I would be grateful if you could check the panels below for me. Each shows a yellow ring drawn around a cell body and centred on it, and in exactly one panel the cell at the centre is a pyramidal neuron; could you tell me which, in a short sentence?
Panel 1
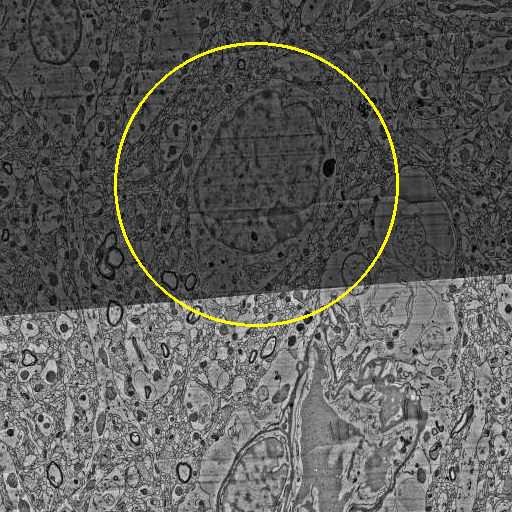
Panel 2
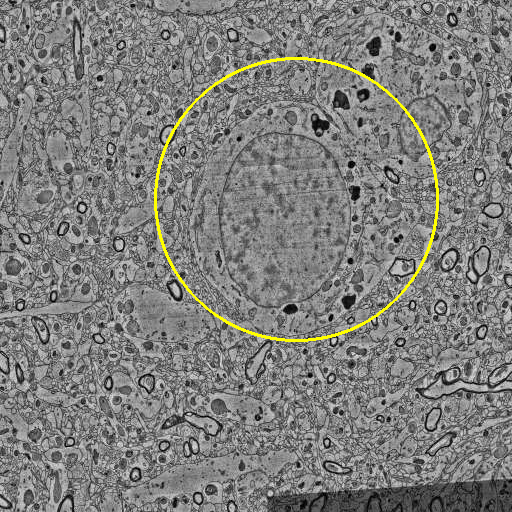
The ring in Panel 2 is centred on it.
